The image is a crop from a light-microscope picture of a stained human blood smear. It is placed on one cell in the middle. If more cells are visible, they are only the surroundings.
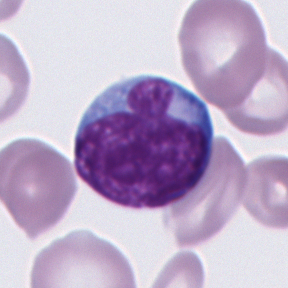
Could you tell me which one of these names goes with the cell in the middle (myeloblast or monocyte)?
myeloblast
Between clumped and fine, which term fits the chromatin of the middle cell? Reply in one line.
If you check the nucleus, you will find the chromatin coarsely clumped.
